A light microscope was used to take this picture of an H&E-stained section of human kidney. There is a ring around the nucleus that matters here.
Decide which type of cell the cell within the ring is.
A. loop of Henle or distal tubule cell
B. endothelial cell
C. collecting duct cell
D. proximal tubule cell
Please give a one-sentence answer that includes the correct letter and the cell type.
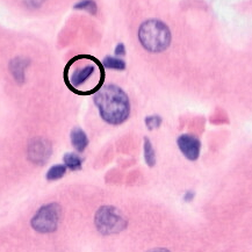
The correct response is option B: the cell within the ring is an endothelial cell.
